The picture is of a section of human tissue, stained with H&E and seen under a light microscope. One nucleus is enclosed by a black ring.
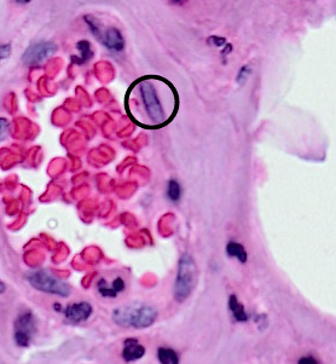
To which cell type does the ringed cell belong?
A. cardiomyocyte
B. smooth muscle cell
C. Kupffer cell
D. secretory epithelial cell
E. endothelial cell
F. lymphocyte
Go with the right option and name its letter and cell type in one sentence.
In this item, the ringed cell is an endothelial cell, and option E is right.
